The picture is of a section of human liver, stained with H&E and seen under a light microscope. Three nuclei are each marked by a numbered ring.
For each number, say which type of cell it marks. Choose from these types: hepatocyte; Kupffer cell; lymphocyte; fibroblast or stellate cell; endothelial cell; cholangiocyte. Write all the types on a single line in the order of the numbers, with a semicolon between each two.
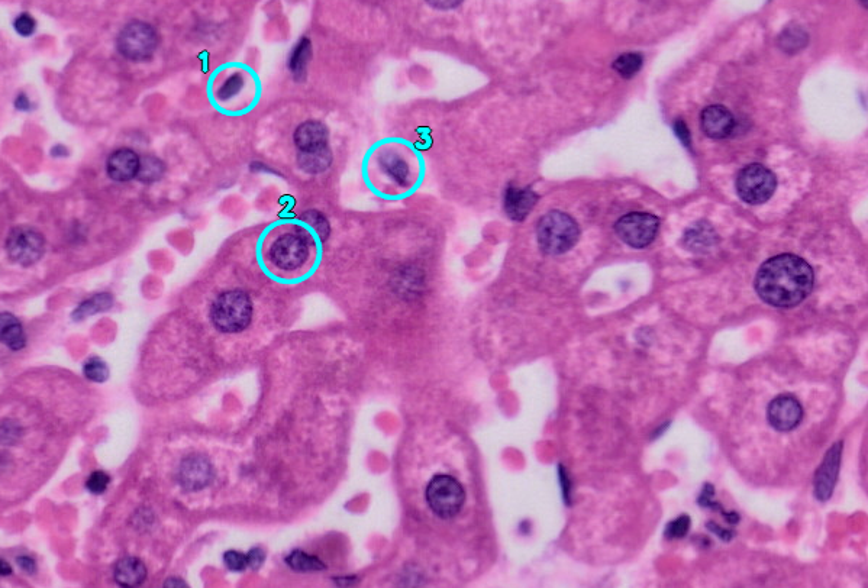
lymphocyte; hepatocyte; Kupffer cell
